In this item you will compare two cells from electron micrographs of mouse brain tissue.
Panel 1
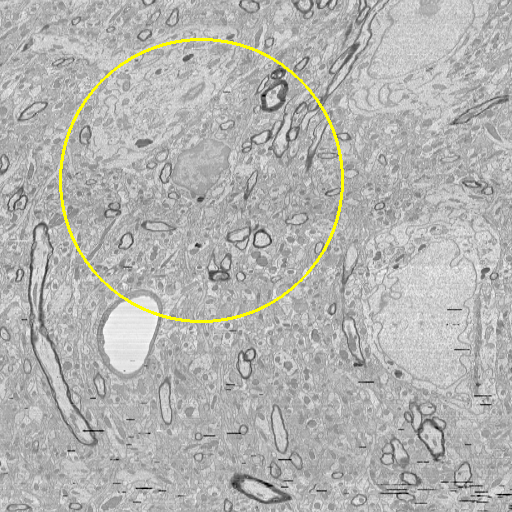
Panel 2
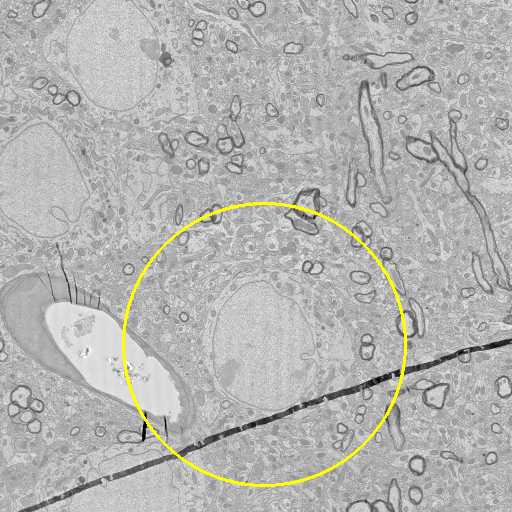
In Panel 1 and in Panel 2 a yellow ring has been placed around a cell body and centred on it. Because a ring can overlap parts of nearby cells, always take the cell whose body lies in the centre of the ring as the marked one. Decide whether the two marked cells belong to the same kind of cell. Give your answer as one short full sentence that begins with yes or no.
No, the two marked cells belong to two kinds of cell.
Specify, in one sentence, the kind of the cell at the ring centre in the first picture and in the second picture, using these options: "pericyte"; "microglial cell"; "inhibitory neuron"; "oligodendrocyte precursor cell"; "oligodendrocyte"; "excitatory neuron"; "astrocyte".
So the first is a microglial cell, the second an excitatory neuron.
